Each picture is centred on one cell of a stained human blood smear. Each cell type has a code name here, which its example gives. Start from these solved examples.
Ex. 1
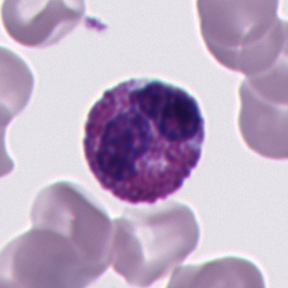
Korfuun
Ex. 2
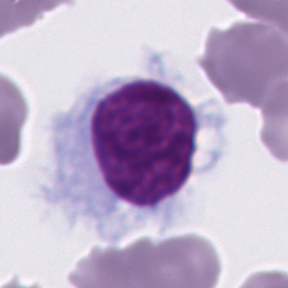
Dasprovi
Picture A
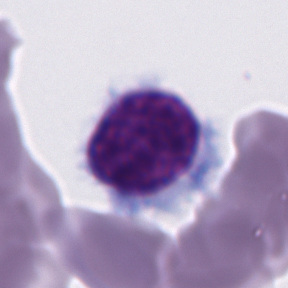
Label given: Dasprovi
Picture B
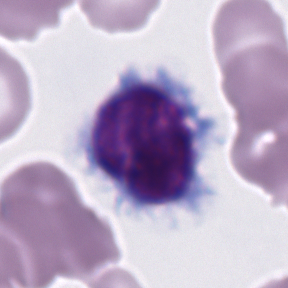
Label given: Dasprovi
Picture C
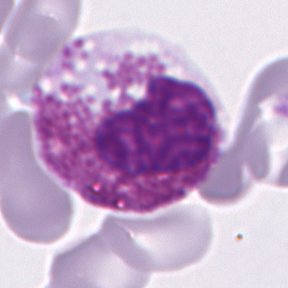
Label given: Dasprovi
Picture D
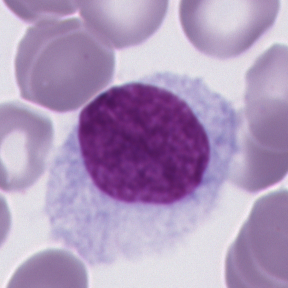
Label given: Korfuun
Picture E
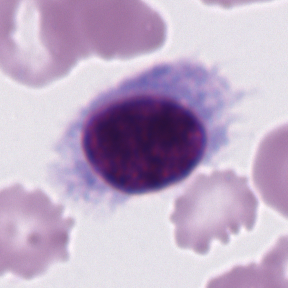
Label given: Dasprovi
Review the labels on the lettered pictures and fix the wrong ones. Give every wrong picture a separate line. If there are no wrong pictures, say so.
C is labelled Dasprovi; correct label: Korfuun
D is labelled Korfuun; correct label: Dasprovi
